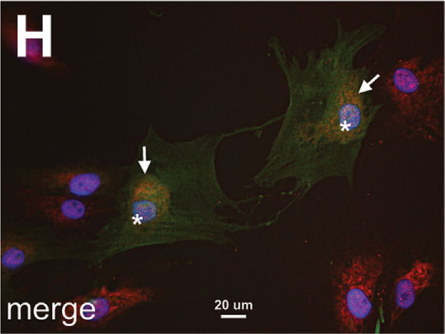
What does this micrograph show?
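These are large, flat, spread cultured cells seen in merged fluorescence, each with a single blue oval nucleus. Two of the cells are filled with green throughout their cytoplasm, which reaches into broad sheets and thin, fraying processes at their edges. In these two cells an orange-red granular zone crowds close around the nucleus, where green and red overlap. The surrounding cells show no green but carry a dense, granular red cytoplasm clustered around their blue nuclei. The nuclei are smooth ovals, somewhat variable in size.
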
